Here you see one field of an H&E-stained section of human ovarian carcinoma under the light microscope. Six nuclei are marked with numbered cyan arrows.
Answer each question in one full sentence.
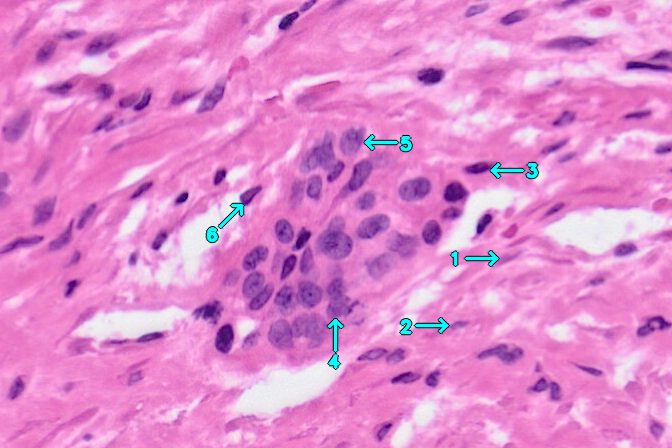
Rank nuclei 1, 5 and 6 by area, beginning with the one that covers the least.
Smallest first, the nuclei run 1, 6, 5.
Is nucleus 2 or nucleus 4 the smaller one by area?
With nucleus 4 about 1.5 times its size, nucleus 2 is the smaller of the two.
